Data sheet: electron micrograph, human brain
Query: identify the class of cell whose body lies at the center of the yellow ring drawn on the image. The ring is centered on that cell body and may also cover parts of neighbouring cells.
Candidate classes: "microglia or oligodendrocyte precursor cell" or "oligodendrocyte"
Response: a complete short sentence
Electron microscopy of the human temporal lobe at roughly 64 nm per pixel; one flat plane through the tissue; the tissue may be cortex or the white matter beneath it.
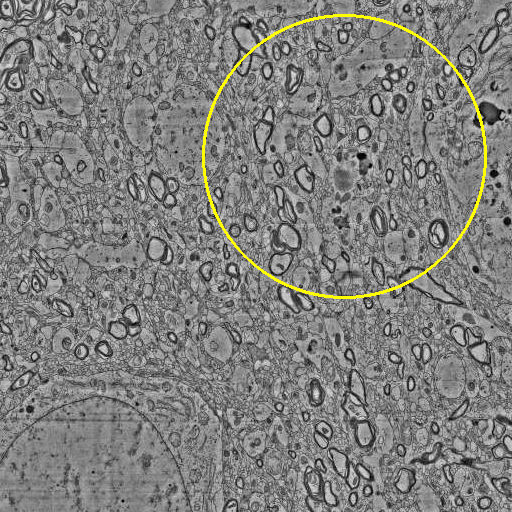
At the center of the ring lies a microglial cell or oligodendrocyte precursor cell.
